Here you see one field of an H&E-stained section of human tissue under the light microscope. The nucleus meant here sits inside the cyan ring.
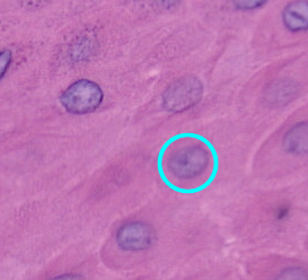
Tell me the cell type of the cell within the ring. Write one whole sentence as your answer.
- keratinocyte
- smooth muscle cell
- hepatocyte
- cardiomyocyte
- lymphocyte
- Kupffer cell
As classified here, the cell within the ring is a keratinocyte.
